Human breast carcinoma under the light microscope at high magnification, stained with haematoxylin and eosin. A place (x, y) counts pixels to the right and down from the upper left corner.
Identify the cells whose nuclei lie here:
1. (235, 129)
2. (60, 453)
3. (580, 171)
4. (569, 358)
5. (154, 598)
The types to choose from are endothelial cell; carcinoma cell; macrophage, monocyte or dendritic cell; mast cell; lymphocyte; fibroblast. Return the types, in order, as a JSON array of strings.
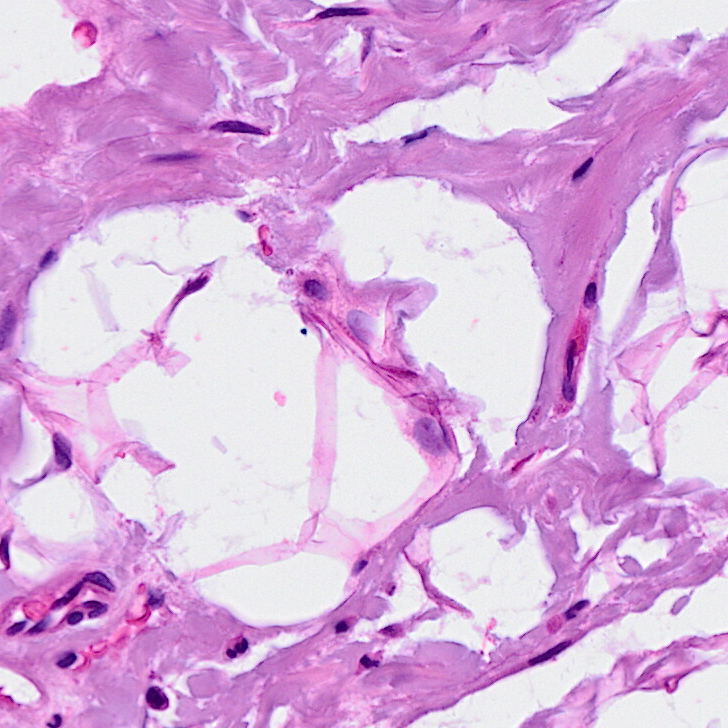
["fibroblast", "fibroblast", "fibroblast", "endothelial cell", "endothelial cell"]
